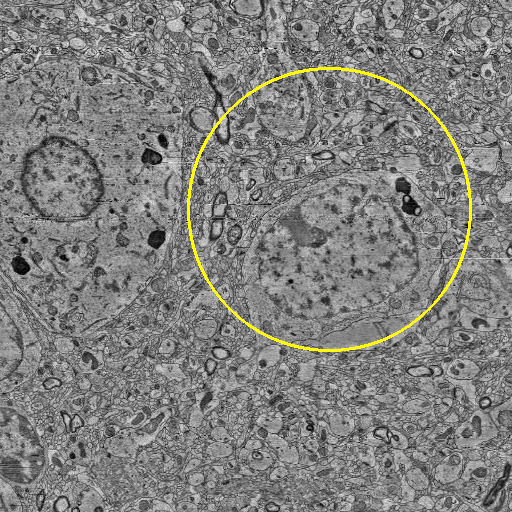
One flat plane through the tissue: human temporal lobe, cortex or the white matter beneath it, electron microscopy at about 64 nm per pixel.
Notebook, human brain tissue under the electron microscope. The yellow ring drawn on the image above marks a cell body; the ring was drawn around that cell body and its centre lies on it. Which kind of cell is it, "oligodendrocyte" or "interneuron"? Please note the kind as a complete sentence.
The marked cell body is that of an interneuron.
